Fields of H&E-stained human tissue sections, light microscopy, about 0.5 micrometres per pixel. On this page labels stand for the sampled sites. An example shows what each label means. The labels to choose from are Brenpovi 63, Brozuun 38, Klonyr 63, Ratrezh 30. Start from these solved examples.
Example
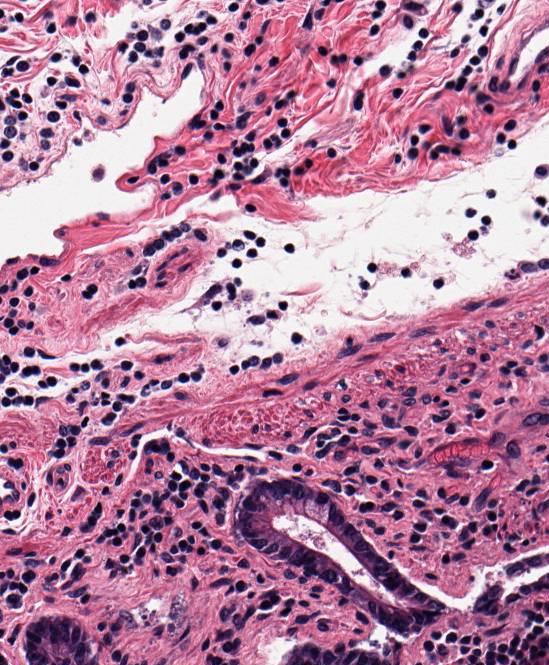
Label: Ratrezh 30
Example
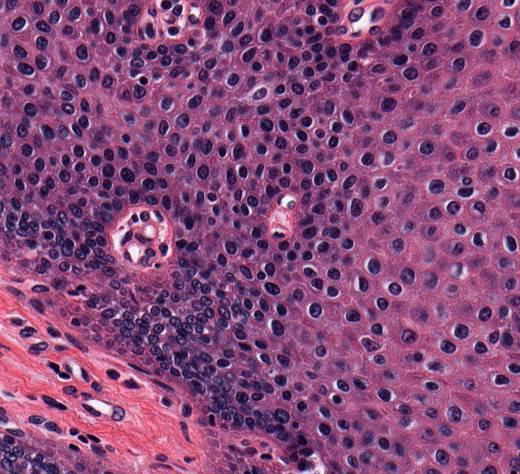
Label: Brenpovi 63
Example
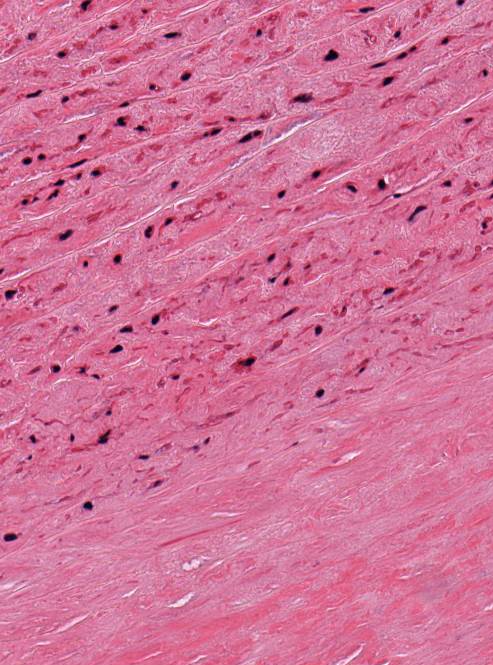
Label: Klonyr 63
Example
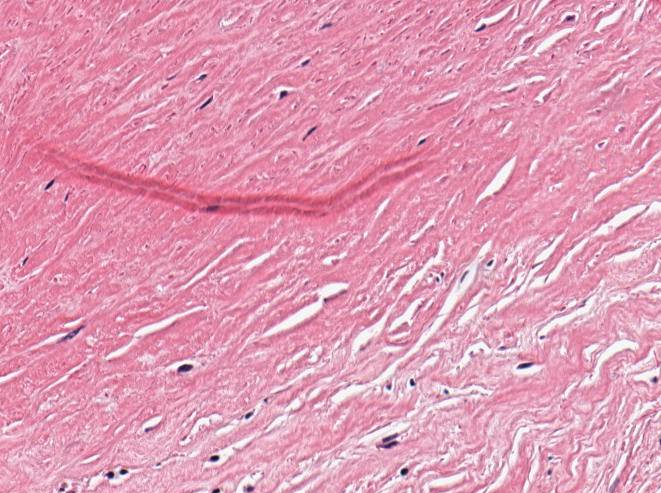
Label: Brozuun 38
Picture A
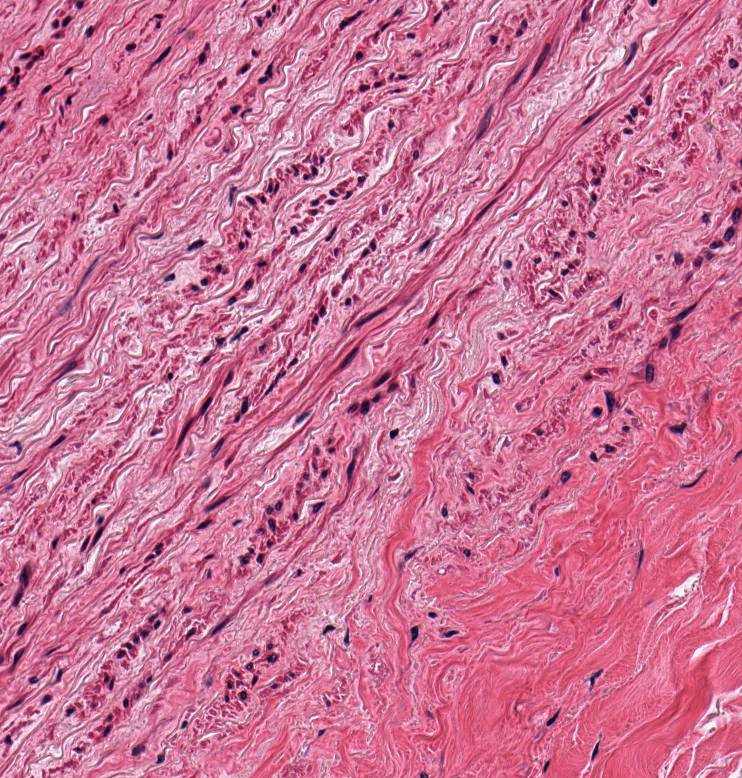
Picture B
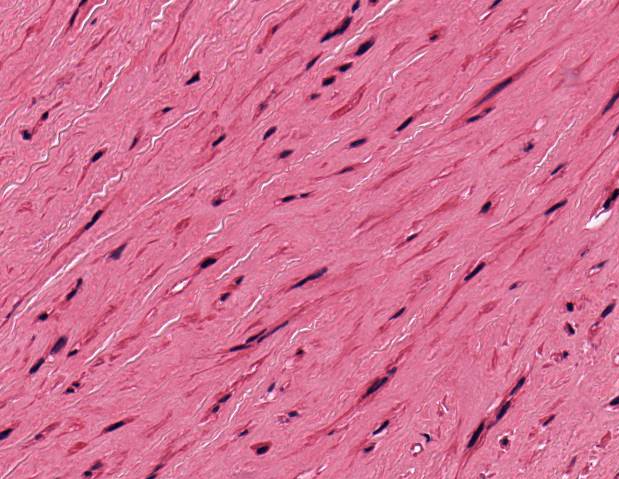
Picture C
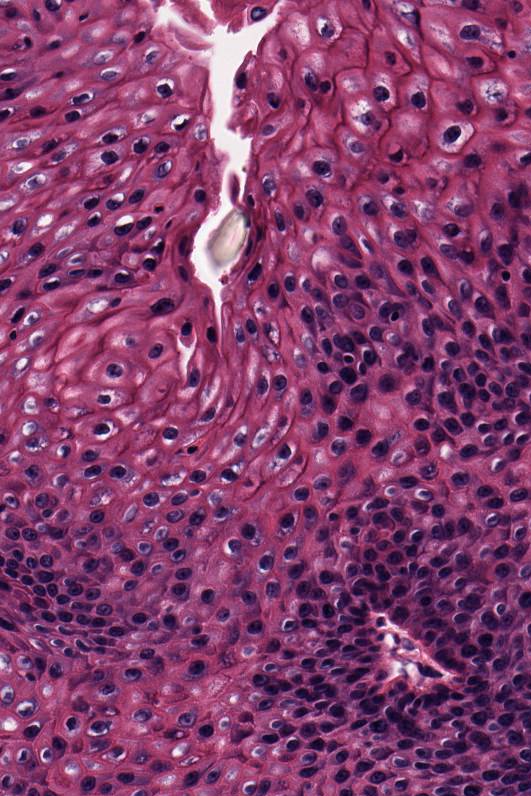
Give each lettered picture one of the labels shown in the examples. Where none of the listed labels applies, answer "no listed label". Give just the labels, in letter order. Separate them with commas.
Klonyr 63, Klonyr 63, Brenpovi 63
